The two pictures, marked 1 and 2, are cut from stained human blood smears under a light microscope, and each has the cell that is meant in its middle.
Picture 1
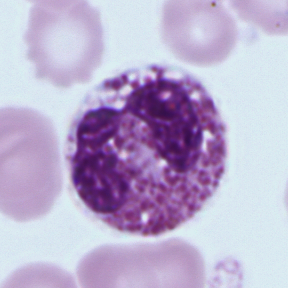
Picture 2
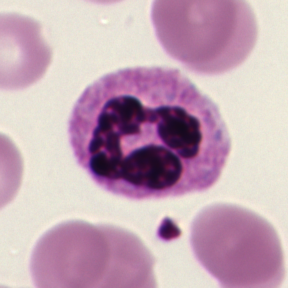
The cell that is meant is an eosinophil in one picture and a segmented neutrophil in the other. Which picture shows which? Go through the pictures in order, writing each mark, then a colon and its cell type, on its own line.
1: eosinophil
2: segmented neutrophil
